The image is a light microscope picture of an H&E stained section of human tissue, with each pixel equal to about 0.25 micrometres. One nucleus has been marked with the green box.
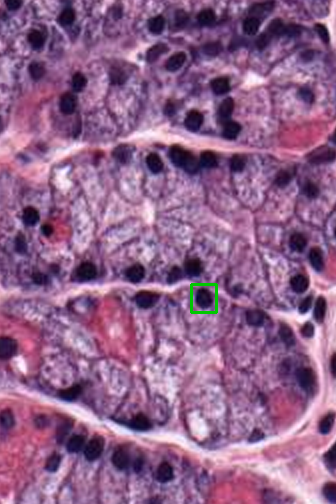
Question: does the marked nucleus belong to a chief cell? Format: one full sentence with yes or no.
Yes, the marked nucleus represents the nucleus of a chief cell.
